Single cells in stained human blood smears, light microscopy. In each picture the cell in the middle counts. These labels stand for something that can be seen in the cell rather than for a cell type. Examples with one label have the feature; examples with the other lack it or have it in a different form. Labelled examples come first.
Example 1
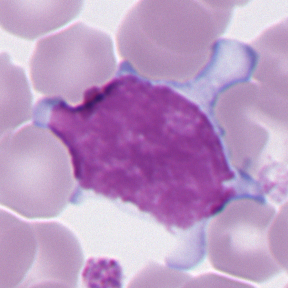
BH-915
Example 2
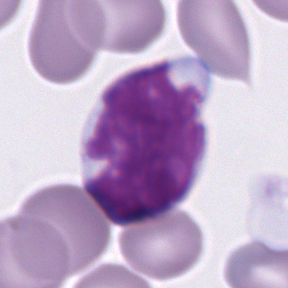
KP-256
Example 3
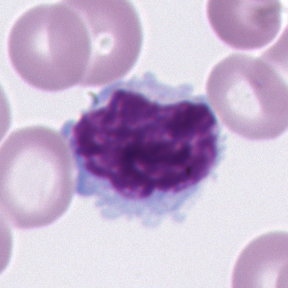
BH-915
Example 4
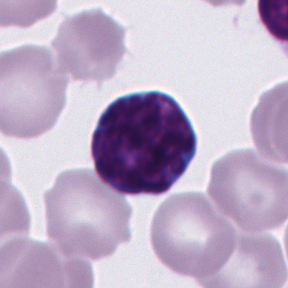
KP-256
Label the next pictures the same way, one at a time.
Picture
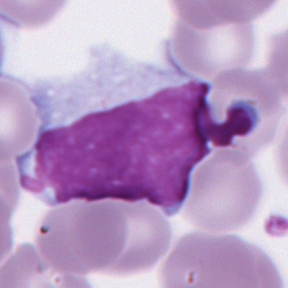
BH-915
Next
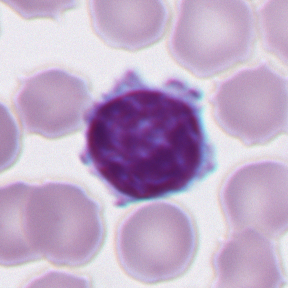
BH-915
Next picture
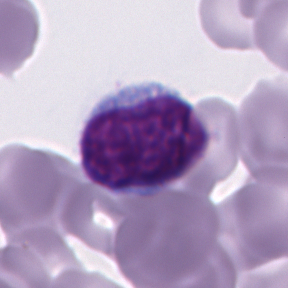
BH-915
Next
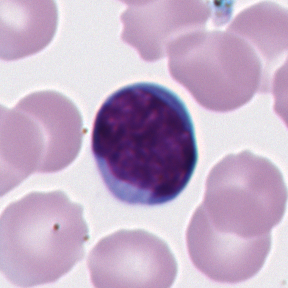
KP-256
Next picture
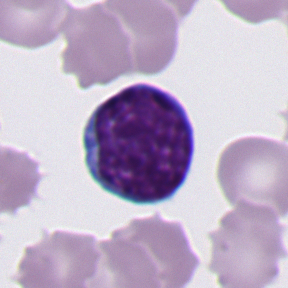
KP-256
